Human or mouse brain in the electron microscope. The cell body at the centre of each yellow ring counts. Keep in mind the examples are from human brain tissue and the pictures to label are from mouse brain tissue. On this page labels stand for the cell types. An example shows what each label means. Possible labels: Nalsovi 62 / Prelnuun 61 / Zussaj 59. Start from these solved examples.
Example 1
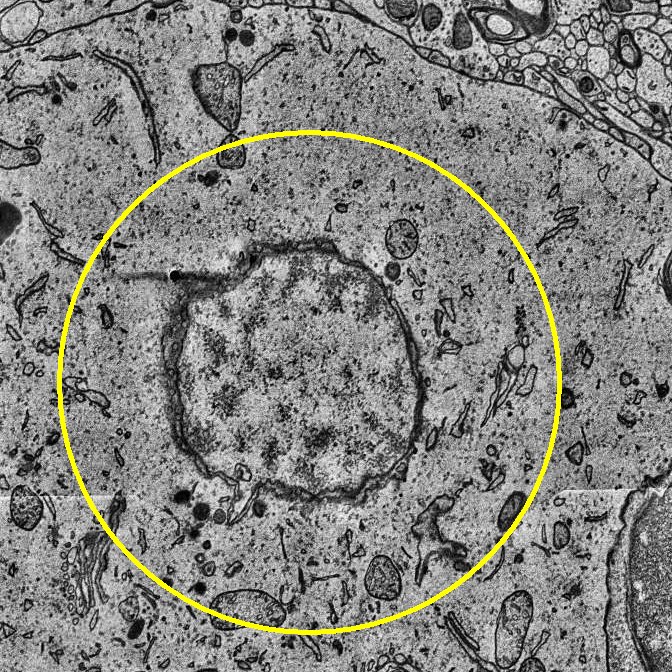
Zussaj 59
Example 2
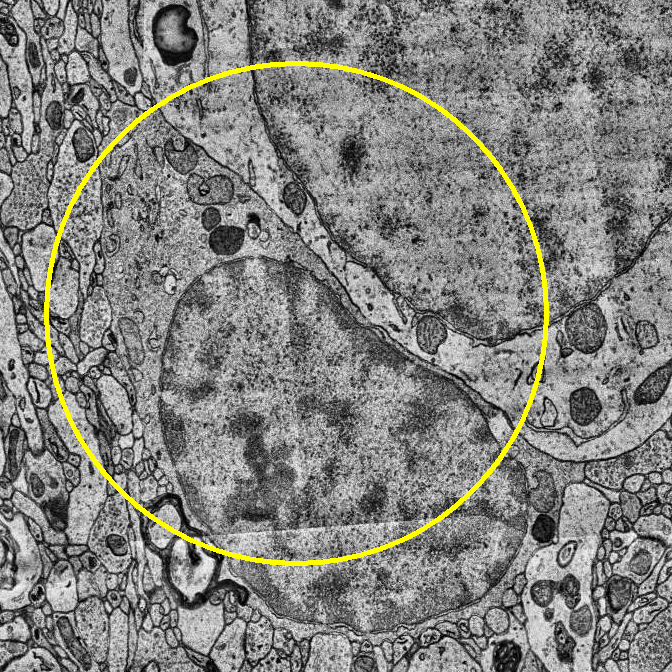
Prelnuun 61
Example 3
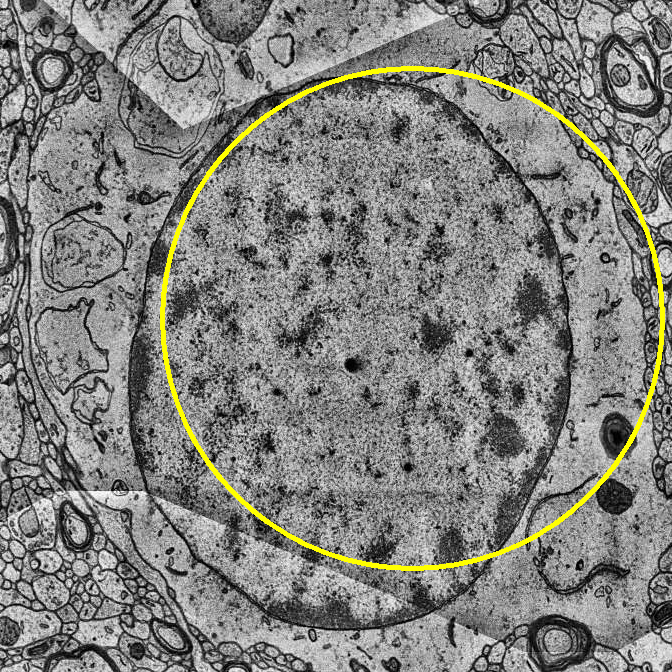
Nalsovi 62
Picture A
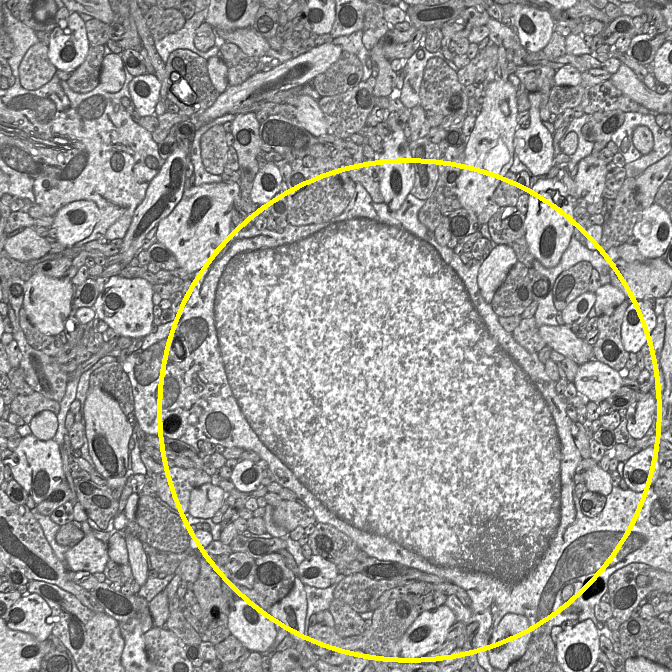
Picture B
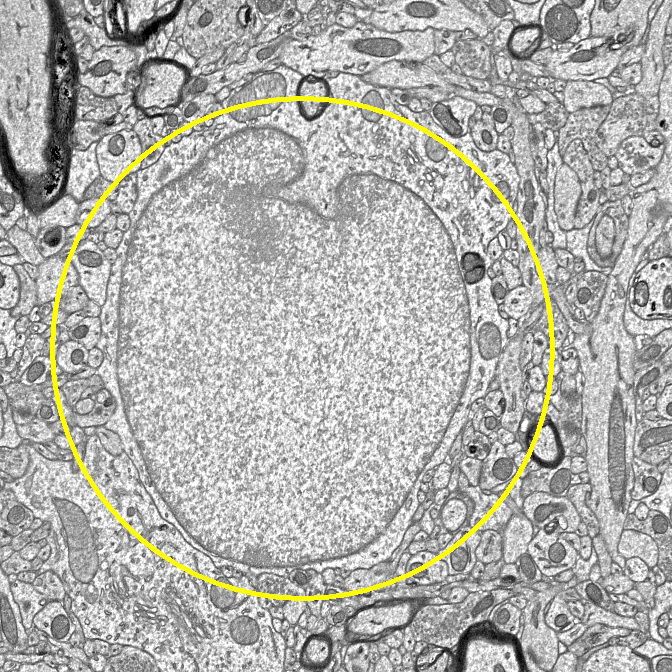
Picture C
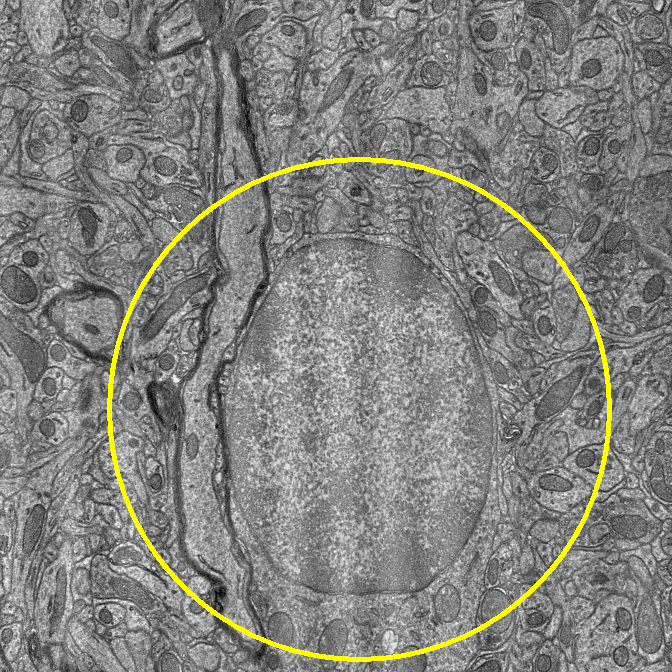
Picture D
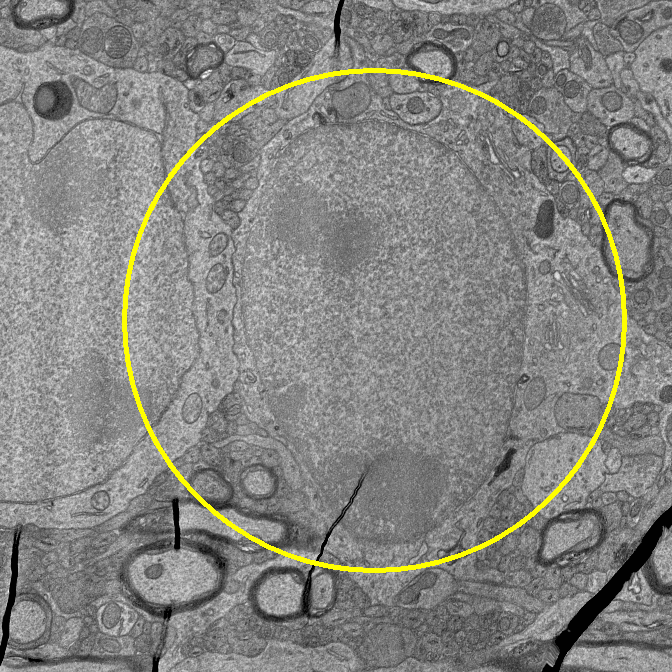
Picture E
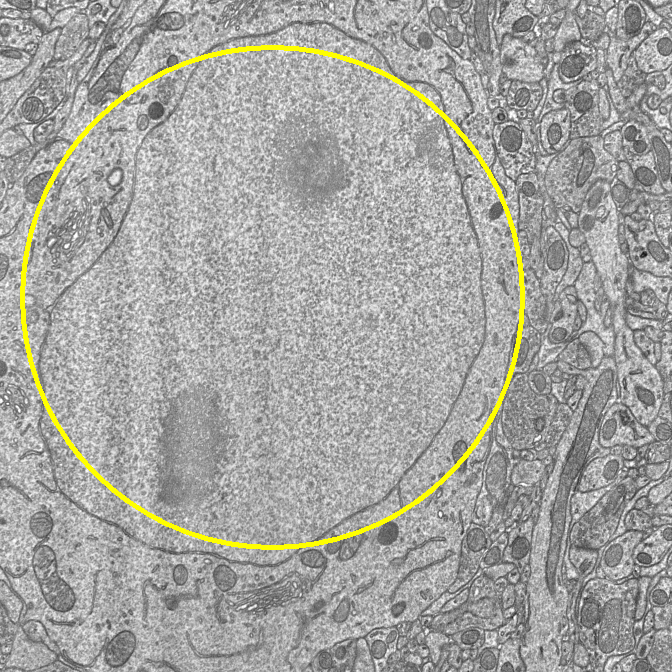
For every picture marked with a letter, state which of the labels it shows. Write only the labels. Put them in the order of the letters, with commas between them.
Nalsovi 62, Nalsovi 62, Prelnuun 61, Nalsovi 62, Zussaj 59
